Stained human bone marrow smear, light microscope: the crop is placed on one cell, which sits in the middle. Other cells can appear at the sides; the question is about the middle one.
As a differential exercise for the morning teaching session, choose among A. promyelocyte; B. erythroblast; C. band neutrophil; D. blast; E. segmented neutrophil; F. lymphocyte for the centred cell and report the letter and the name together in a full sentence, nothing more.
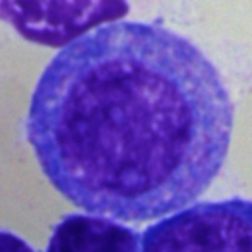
Option A is accurate; the centrally placed cell is a promyelocyte.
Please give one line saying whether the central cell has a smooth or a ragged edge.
Around its whole circumference the outline stays smooth, free of projections.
